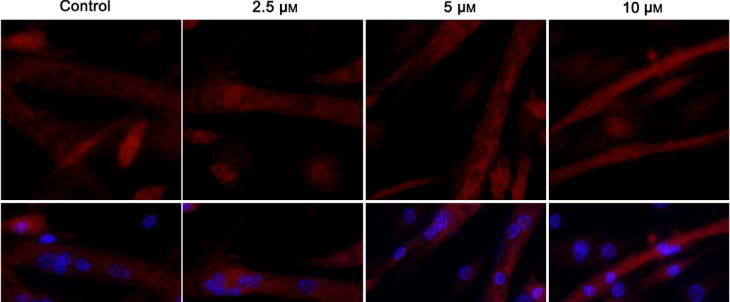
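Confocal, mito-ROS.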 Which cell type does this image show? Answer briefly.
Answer: Myotubes.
